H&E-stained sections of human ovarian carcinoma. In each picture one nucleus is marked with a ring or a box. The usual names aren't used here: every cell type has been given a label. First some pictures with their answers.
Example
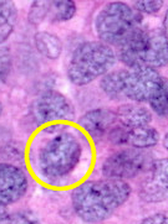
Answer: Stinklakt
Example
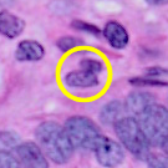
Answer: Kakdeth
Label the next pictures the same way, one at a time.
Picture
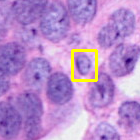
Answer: Kakdeth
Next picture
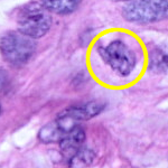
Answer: Kakdeth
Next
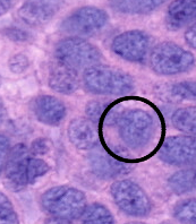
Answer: Stinklakt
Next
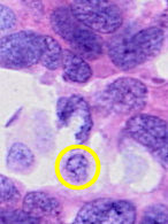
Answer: Kakdeth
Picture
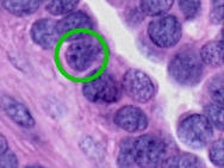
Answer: Stinklakt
